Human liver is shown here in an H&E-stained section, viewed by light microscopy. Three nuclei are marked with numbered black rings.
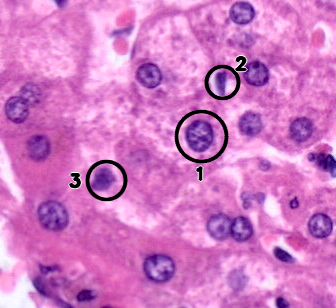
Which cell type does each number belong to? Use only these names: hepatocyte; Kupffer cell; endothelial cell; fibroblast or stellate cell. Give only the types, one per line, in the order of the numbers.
hepatocyte
endothelial cell
endothelial cell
